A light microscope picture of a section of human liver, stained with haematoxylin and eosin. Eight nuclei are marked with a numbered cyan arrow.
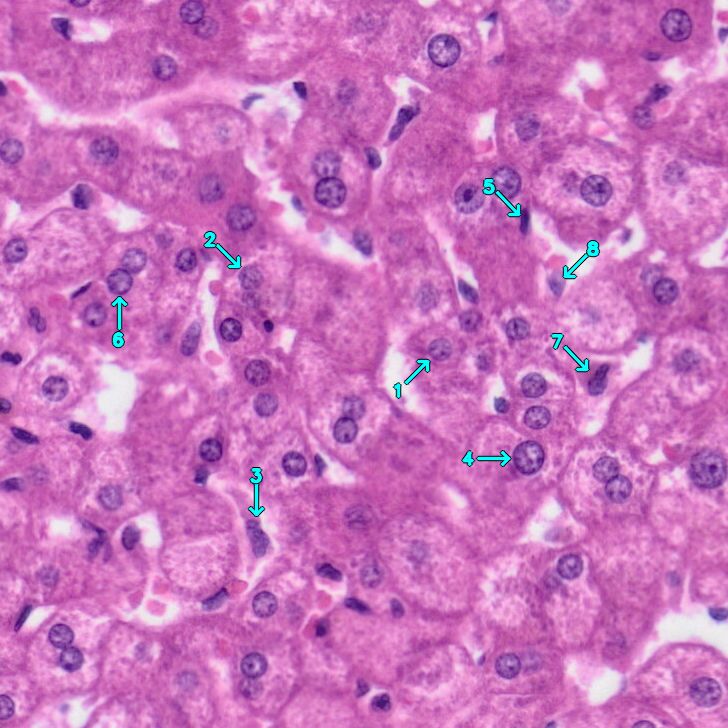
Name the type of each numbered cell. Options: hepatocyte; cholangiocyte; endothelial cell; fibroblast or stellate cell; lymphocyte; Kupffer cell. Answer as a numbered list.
1. hepatocyte
2. hepatocyte
3. Kupffer cell
4. hepatocyte
5. fibroblast or stellate cell
6. hepatocyte
7. Kupffer cell
8. Kupffer cell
